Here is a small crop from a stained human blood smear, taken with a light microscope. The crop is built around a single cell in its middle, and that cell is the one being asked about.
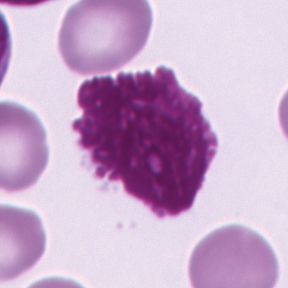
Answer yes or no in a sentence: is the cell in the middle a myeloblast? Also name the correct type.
No, the cell in the centre of the crop is a smudge cell as opposed to a myeloblast.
